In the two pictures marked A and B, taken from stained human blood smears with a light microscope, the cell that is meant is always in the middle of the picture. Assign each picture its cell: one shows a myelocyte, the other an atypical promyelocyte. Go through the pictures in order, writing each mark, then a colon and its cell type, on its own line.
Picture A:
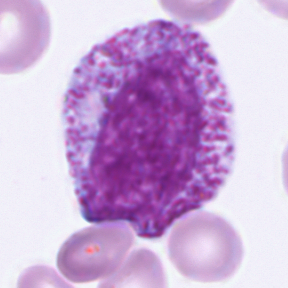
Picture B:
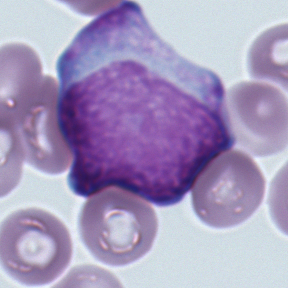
A: myelocyte
B: atypical promyelocyte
